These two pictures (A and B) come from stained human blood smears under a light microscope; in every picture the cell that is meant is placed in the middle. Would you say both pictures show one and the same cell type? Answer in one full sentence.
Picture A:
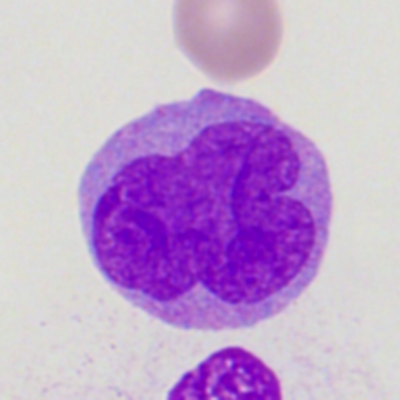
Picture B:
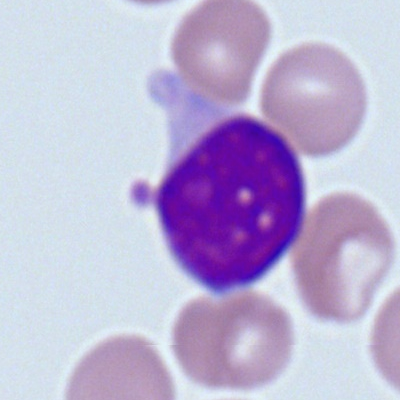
Yes, they are the same type: both are myeloblasts.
